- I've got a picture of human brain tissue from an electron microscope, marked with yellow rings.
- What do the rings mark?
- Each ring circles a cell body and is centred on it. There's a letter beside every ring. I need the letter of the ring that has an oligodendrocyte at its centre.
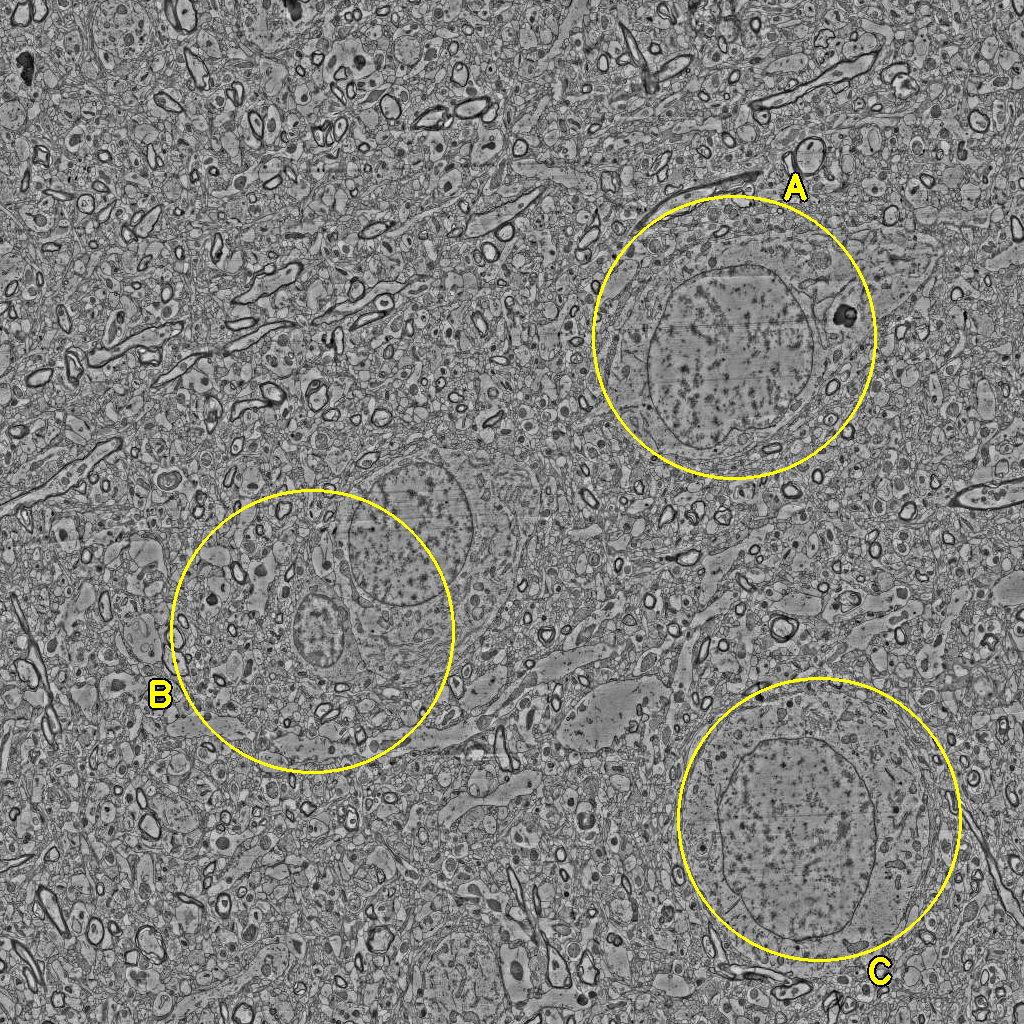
B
